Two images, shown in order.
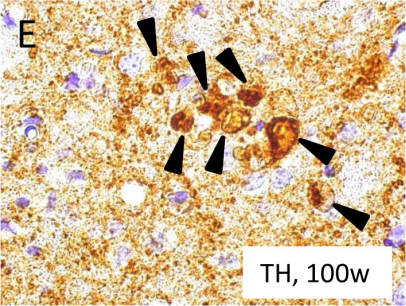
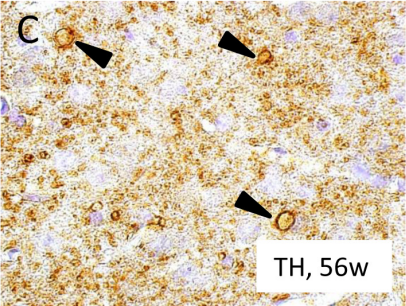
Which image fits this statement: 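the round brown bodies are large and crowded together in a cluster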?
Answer: The first image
